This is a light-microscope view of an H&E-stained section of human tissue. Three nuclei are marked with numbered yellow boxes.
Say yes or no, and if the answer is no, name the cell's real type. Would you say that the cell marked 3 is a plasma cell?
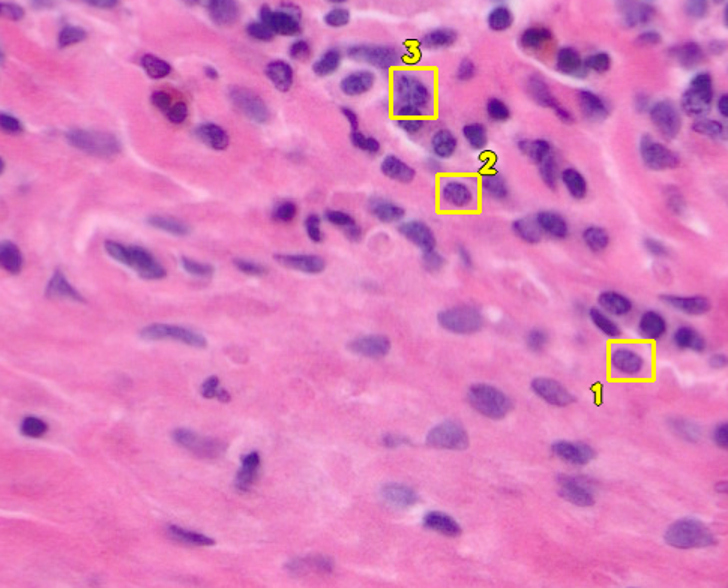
Yes.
